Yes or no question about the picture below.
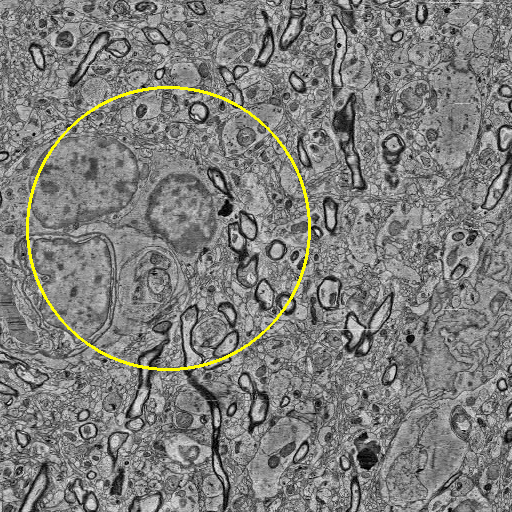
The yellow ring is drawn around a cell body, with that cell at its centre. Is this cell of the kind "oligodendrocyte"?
yes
